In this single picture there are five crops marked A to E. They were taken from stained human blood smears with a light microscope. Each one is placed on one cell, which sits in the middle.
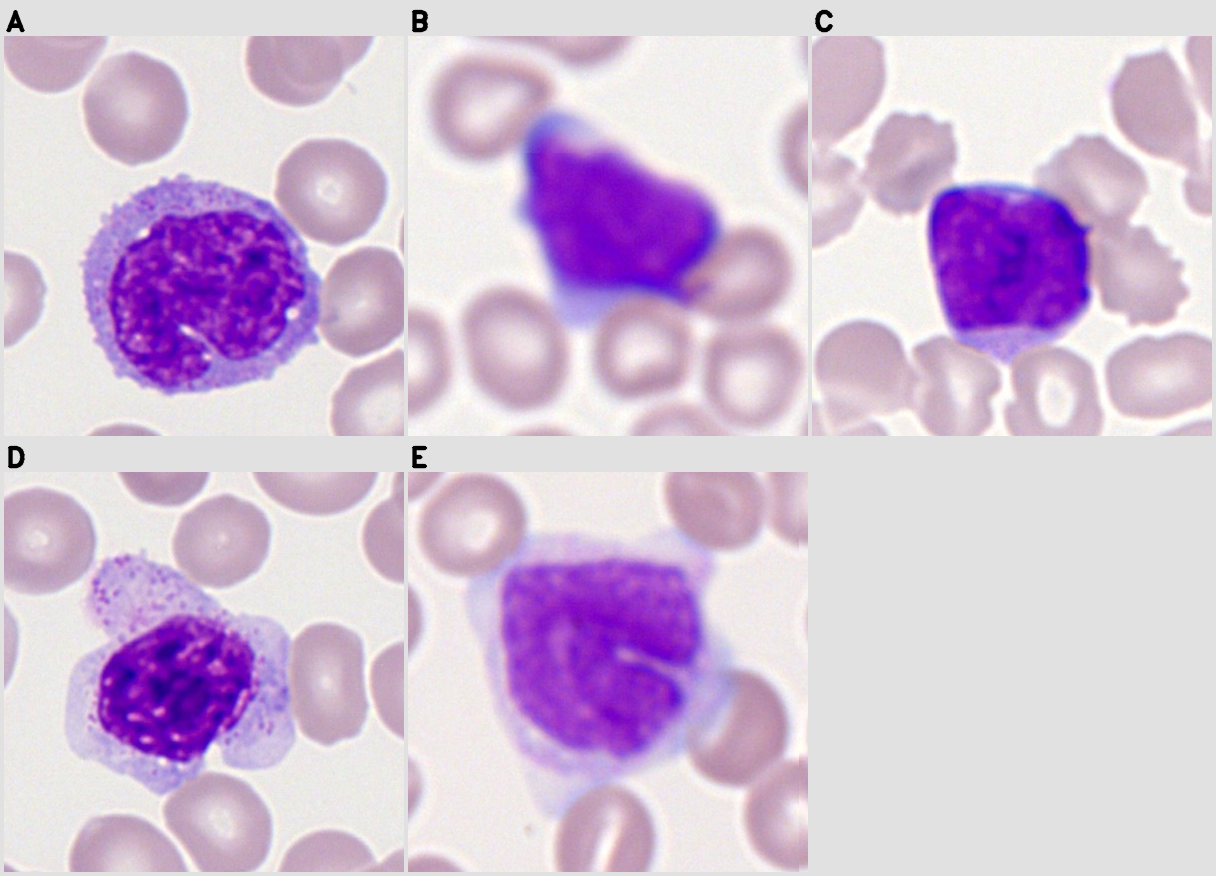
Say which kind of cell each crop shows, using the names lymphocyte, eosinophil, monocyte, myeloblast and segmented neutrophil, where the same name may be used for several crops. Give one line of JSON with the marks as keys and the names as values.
{"A": "monocyte", "B": "myeloblast", "C": "myeloblast", "D": "monocyte", "E": "monocyte"}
